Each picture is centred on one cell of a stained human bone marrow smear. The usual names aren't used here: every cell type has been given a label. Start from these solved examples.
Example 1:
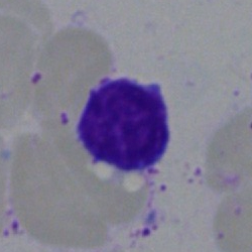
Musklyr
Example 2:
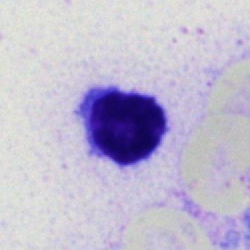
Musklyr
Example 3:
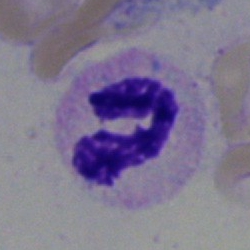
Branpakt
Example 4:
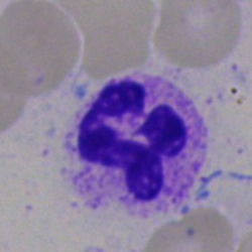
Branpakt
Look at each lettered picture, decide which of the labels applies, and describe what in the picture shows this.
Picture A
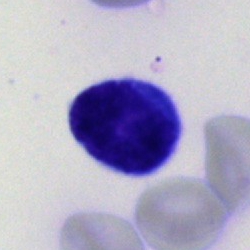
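Musklyr: Cytoplasm is very scant, at most a barely visible thin rim around the nucleus.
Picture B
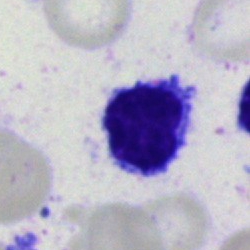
Musklyr: Cytoplasm is scant, showing at most as a thin rim at the edge.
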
